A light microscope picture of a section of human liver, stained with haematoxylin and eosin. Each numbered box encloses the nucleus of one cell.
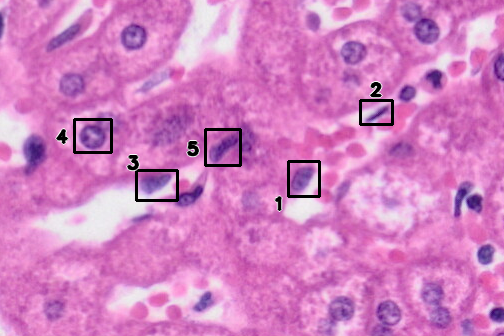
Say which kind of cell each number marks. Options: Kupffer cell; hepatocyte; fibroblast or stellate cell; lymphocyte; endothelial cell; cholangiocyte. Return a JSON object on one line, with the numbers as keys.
{"1": "Kupffer cell", "2": "endothelial cell", "3": "endothelial cell", "4": "hepatocyte", "5": "fibroblast or stellate cell"}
